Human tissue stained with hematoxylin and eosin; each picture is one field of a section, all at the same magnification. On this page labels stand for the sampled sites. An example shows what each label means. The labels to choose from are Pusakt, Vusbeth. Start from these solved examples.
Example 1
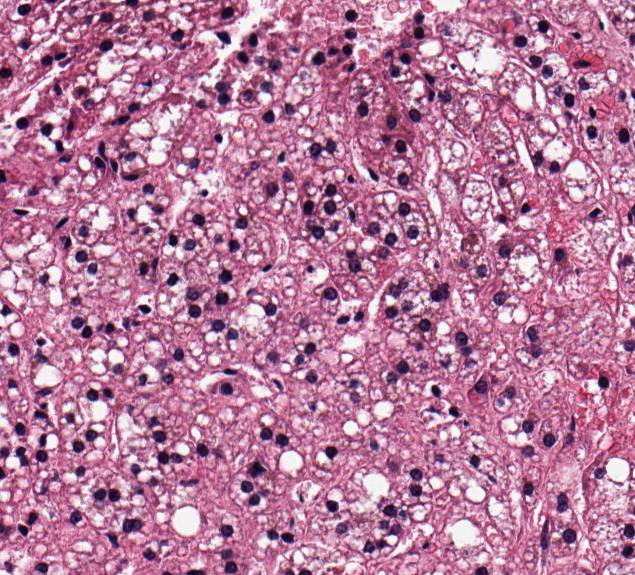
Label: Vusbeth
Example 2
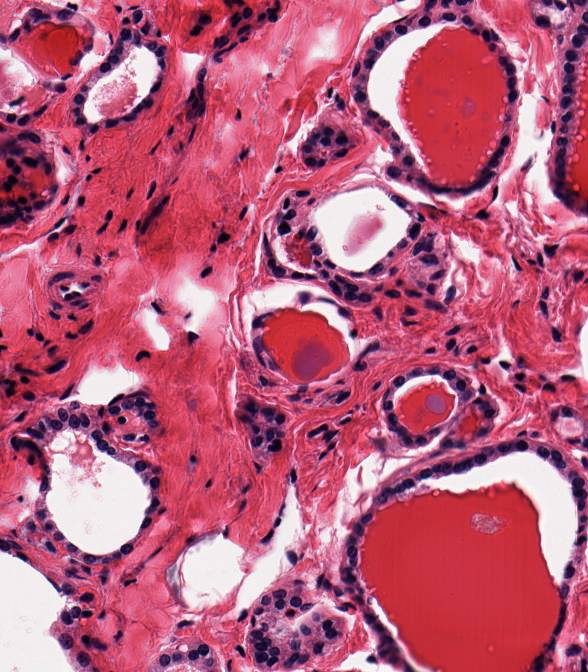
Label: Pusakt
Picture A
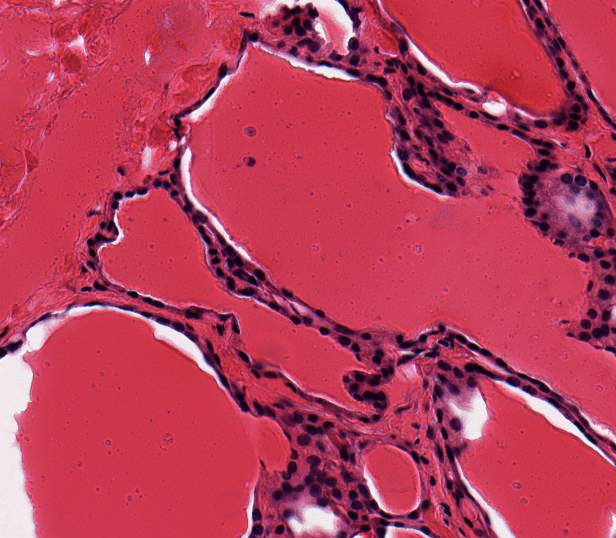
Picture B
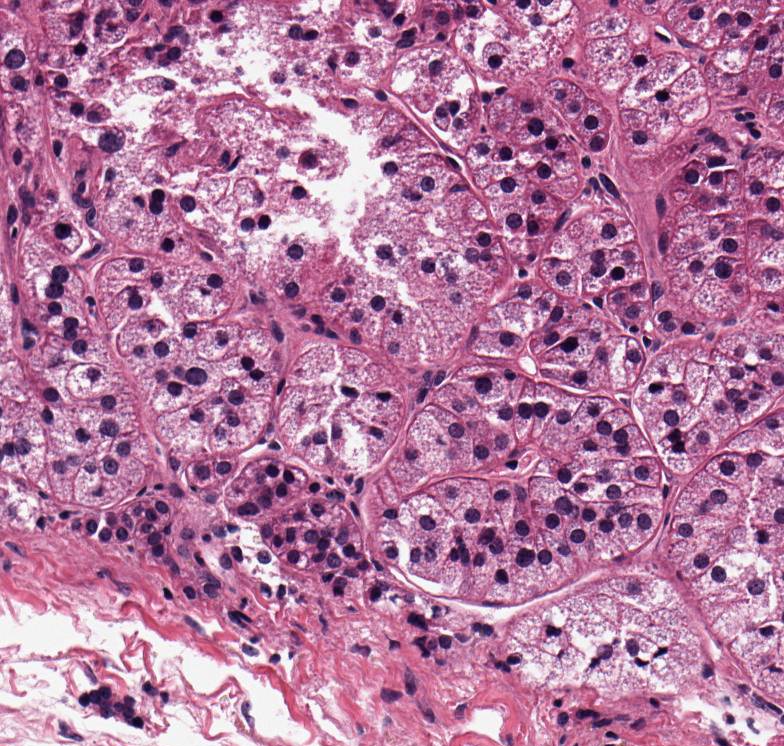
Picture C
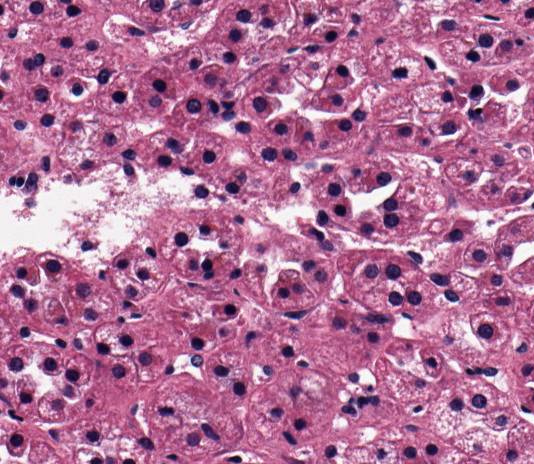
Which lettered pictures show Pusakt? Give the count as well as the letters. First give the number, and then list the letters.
Count: 1 (A)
